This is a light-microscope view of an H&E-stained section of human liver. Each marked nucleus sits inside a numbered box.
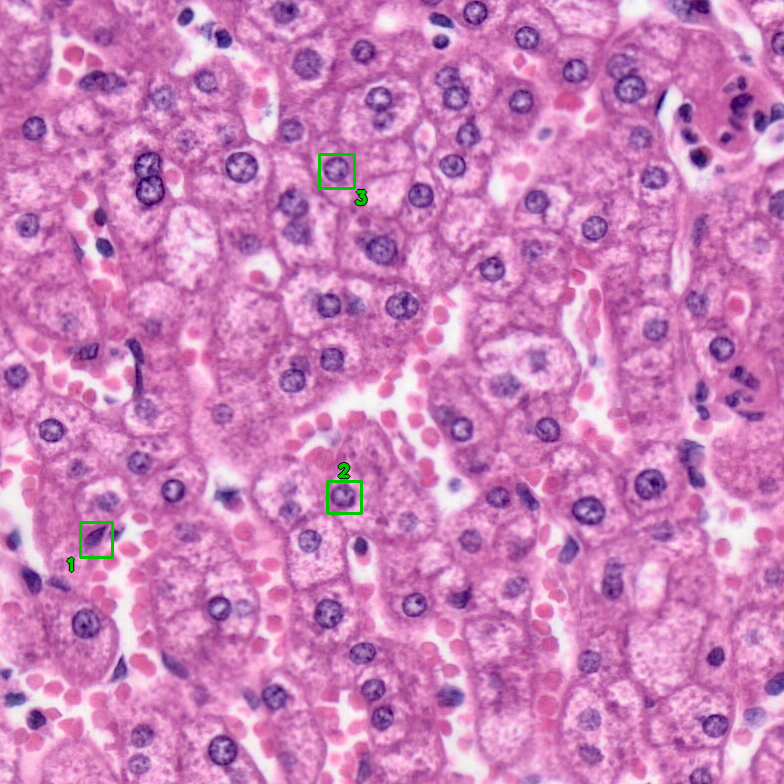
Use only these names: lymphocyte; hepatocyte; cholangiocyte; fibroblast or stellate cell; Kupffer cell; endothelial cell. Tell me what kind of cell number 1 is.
fibroblast or stellate cell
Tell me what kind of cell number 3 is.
hepatocyte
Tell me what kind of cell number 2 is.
hepatocyte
